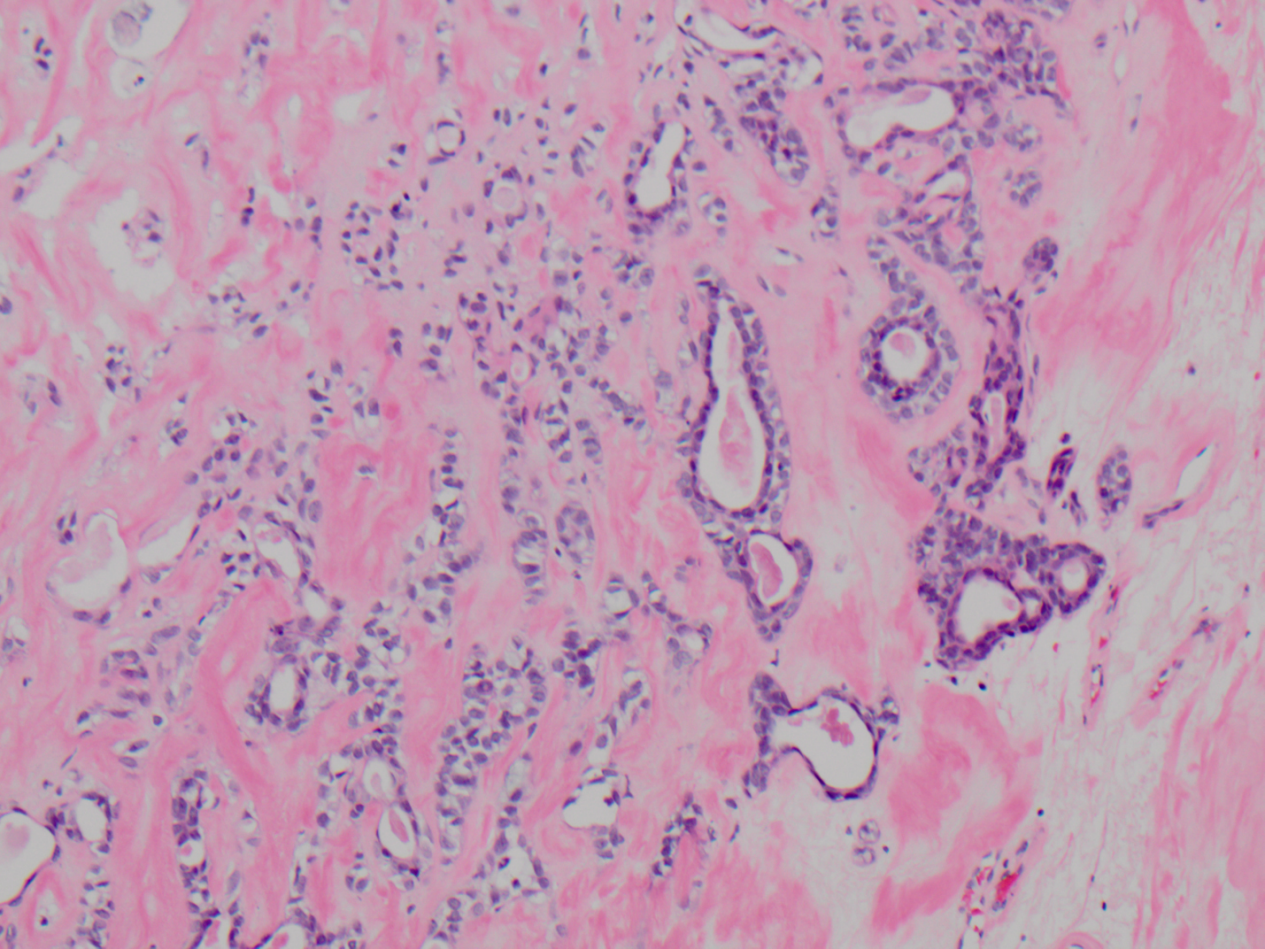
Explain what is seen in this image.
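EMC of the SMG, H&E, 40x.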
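Many small glandular structures lie in abundant dense, pale pink stroma. Each has an open lumen lined by cuboidal epithelial cells with darker nuclei, and some lumina hold pale pink material. Around several of these ducts is a second layer of cells with paler cytoplasm. On the left, narrow, compressed cords and small cell clusters without clear lumina lie between bands of dense pink stroma, while the right edge shows looser, paler connective tissue with a few small vessels. The picture is of a gland-forming tumour with two-layered ducts set in a hyalinized stroma.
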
